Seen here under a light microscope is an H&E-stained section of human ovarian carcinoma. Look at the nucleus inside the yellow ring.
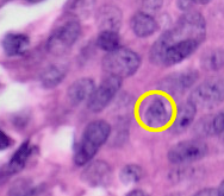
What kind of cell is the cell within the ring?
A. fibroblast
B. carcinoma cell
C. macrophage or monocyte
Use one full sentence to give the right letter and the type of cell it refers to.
The choice that fits is option C, as the cell within the ring is a macrophage or monocyte.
